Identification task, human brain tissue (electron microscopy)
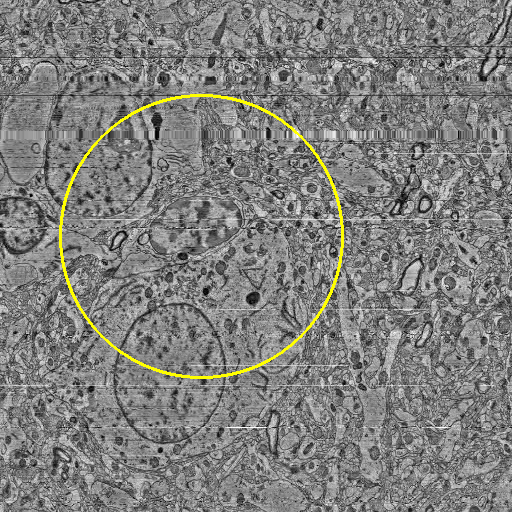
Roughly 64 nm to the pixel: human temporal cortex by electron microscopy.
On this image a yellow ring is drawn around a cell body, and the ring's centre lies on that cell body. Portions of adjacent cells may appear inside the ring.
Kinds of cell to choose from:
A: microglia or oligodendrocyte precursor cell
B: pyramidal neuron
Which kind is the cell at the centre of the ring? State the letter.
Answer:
A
